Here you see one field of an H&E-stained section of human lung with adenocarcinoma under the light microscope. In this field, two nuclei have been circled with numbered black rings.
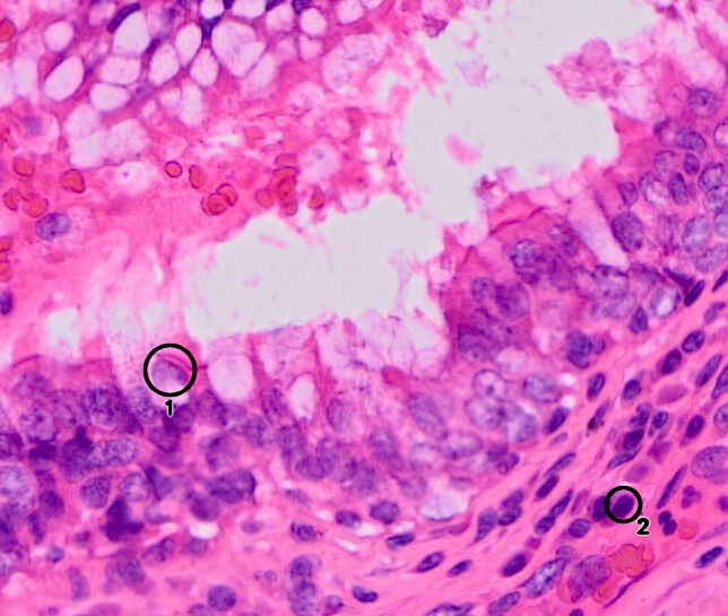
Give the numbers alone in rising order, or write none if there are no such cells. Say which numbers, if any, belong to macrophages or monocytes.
none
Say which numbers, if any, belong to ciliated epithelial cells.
1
